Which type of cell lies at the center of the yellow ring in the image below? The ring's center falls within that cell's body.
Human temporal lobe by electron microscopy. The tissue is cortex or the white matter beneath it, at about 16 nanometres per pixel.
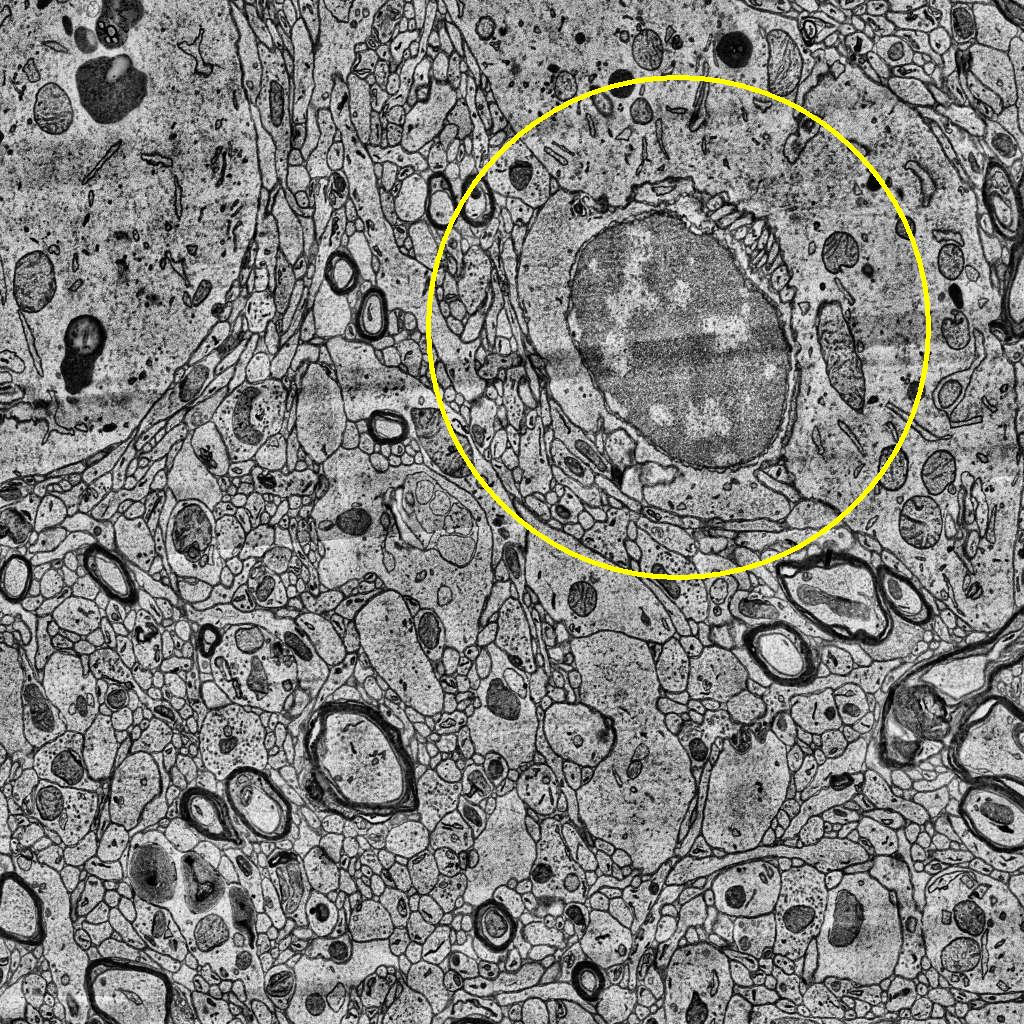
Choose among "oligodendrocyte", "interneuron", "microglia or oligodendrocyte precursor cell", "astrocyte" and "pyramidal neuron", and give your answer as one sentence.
The cell body at the center belongs to a microglial cell or oligodendrocyte precursor cell.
